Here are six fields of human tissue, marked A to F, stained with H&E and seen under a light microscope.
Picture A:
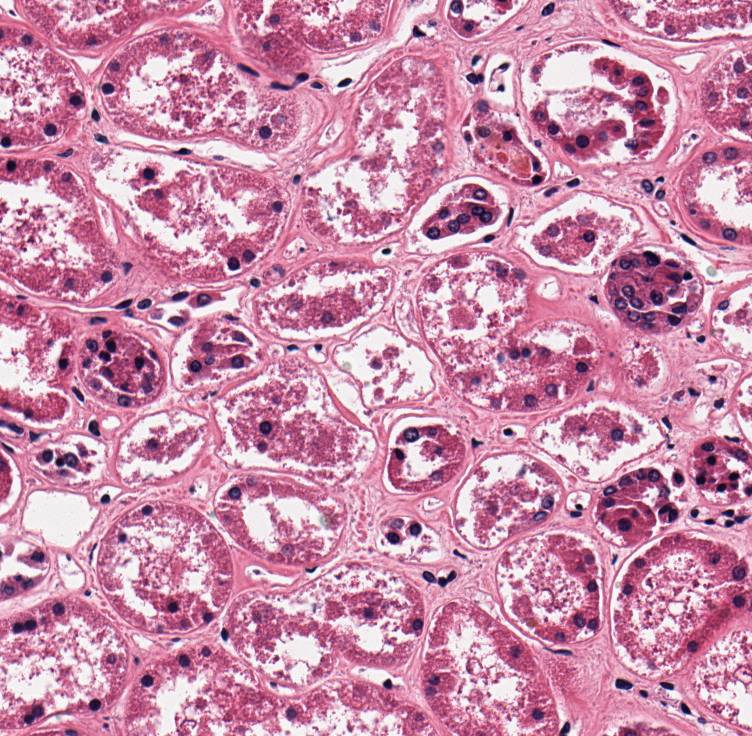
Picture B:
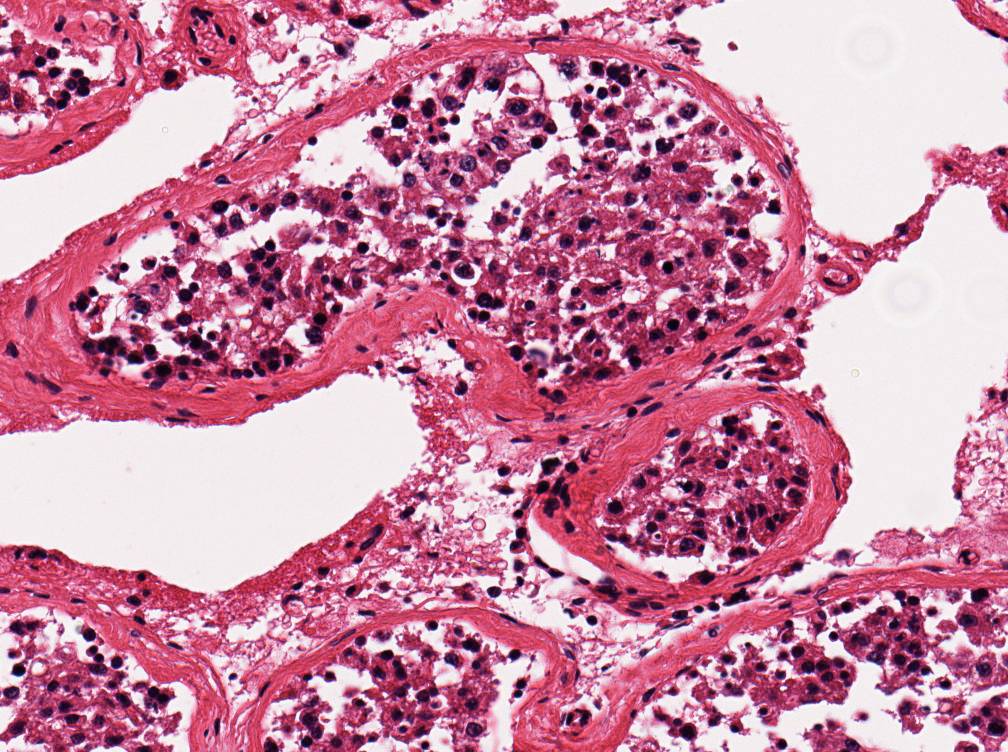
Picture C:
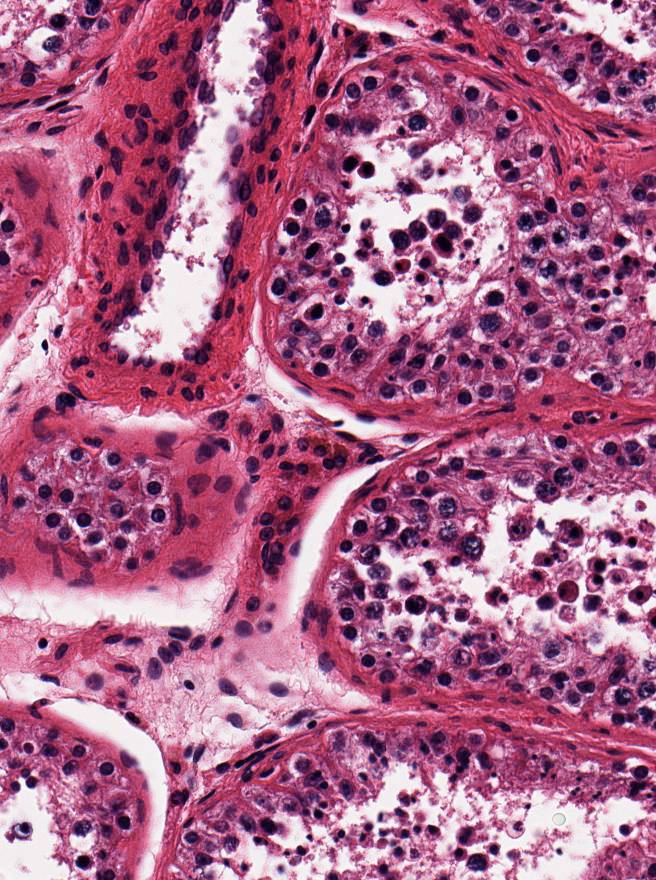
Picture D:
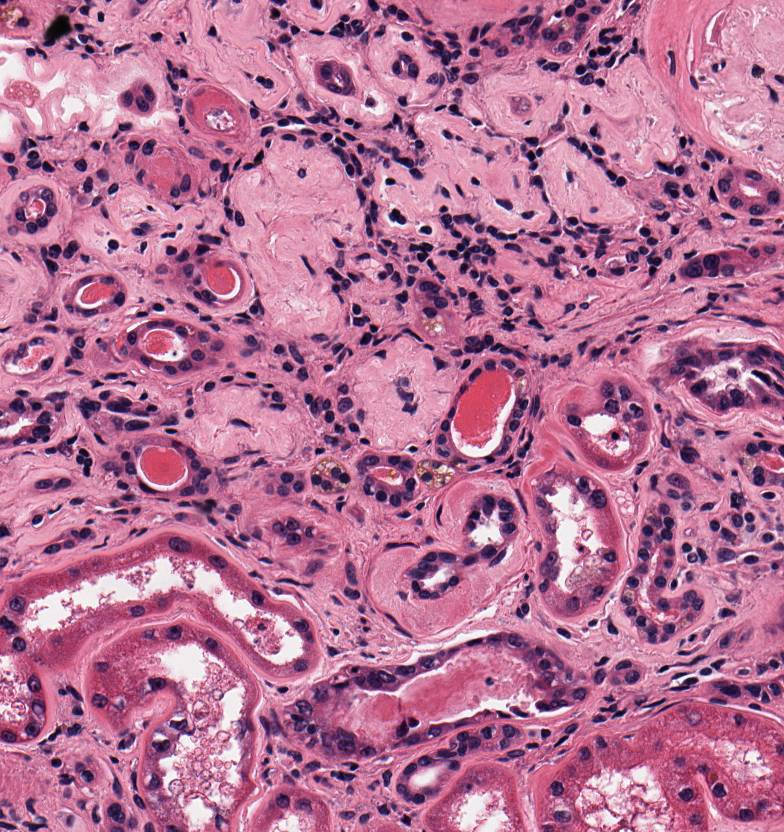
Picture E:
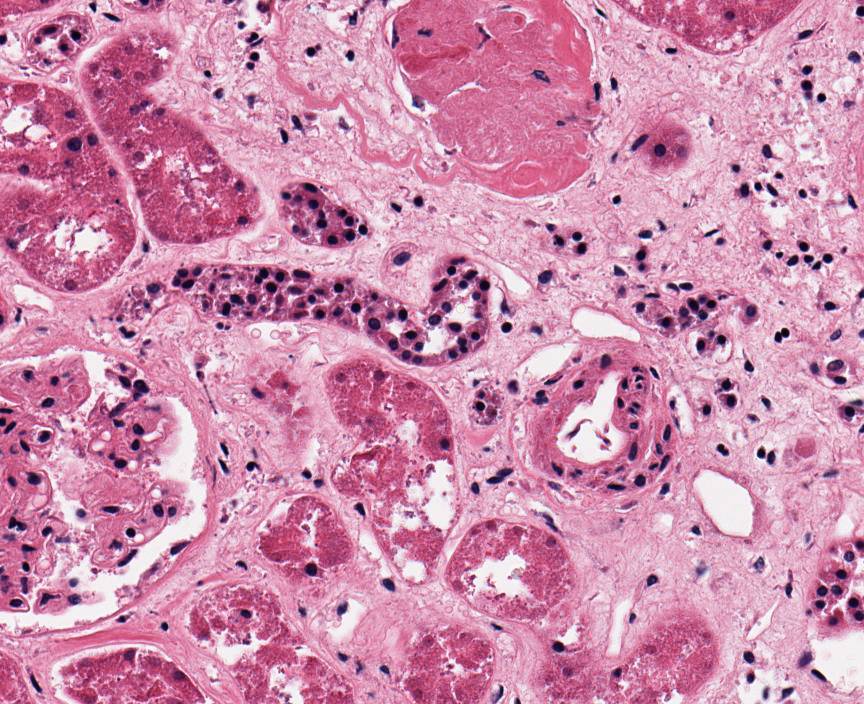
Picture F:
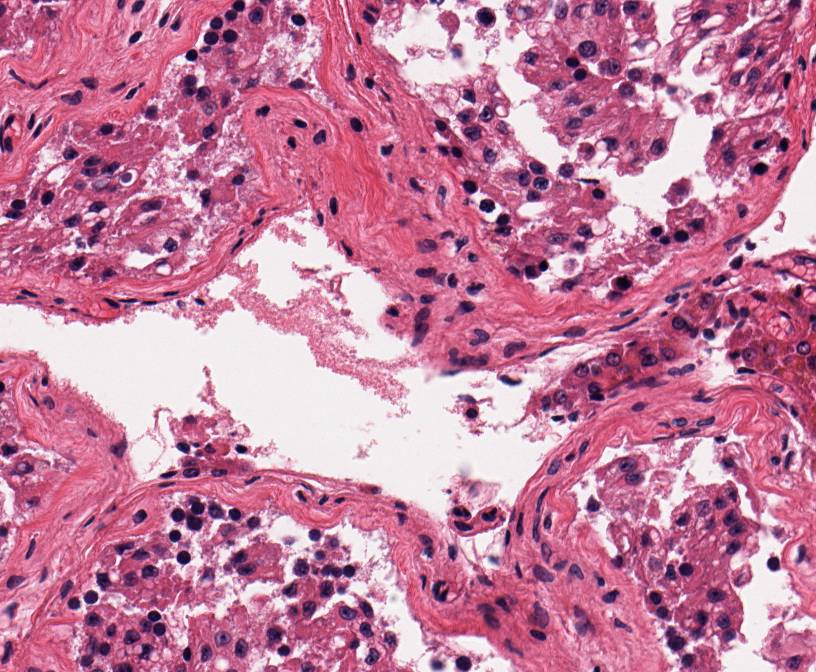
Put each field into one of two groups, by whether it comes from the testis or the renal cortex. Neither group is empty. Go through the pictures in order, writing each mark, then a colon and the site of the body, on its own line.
A: renal cortex
B: testis
C: testis
D: renal cortex
E: renal cortex
F: testis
